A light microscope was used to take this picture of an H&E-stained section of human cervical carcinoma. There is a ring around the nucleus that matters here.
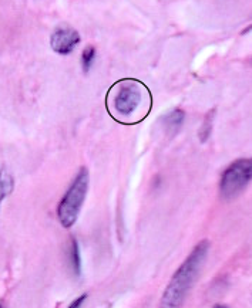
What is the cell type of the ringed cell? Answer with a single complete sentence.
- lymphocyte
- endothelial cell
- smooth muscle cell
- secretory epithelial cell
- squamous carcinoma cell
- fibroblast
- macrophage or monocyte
The ringed cell is a fibroblast.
